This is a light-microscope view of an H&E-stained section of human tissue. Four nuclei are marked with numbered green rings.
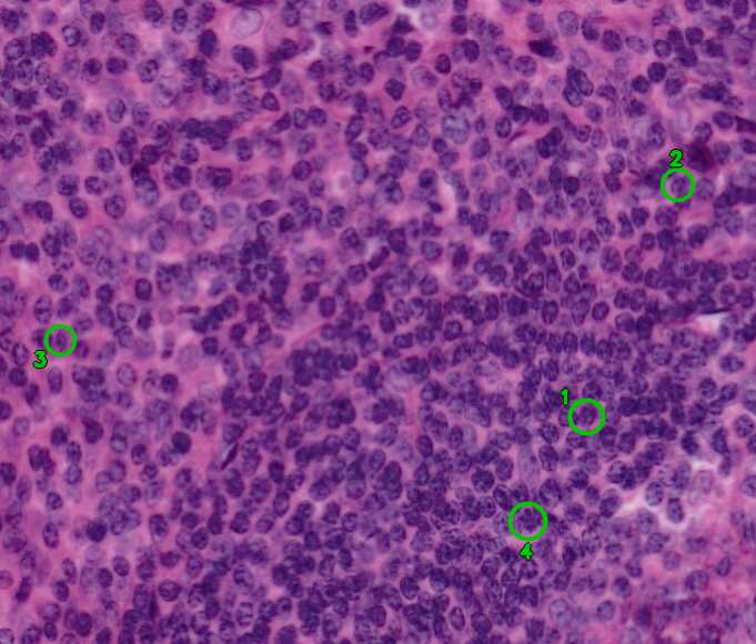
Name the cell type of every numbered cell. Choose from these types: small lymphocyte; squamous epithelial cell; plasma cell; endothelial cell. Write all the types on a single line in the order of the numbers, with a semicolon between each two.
small lymphocyte; small lymphocyte; plasma cell; small lymphocyte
